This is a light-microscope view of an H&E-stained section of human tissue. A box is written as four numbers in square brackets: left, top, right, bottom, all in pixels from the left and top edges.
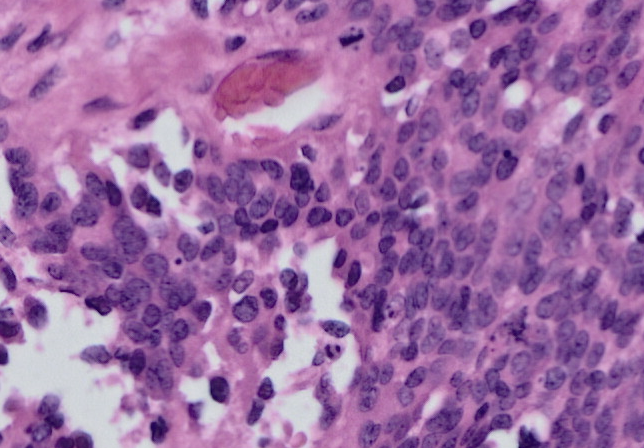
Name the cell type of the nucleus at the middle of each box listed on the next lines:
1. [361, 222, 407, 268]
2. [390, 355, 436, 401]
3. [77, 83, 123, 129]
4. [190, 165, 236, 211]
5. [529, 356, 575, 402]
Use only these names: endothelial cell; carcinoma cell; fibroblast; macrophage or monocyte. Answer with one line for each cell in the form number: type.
1: carcinoma cell
2: carcinoma cell
3: fibroblast
4: carcinoma cell
5: macrophage or monocyte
